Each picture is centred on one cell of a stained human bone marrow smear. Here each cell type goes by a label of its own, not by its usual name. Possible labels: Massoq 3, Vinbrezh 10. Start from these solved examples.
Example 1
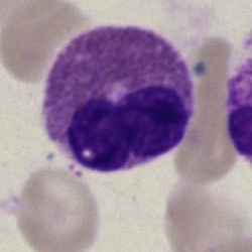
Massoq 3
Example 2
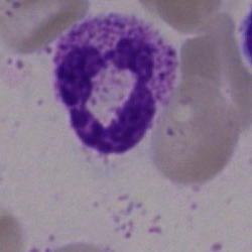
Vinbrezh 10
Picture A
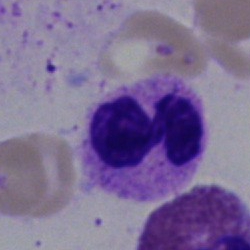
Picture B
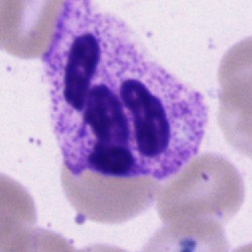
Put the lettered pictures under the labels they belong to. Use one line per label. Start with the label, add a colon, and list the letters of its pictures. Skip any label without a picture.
Vinbrezh 10: A, B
